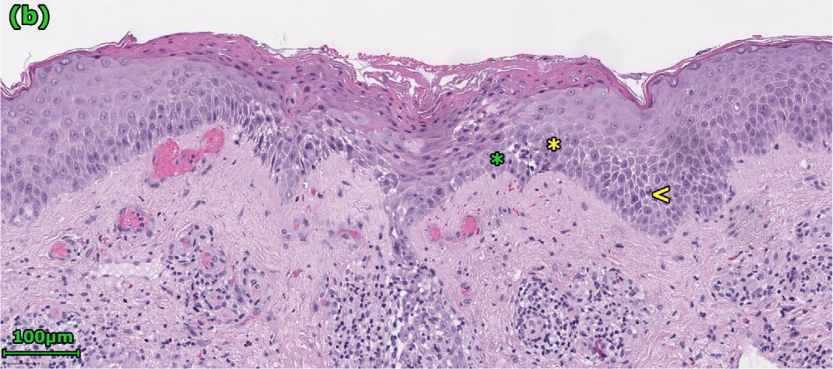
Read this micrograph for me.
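This is skin with an inflamed epidermis: the keratinocytes in the middle and lower epidermis are pushed apart by pale, widened spaces between them, giving a white, net-like look, and in one spot the gaps begin to merge into a small clear space within the epidermis. Nearby, a cluster of small cells with dark, round nuclei sits inside the lower epidermis, far smaller than the pale pink keratinocytes. The surface carries a pink cornified layer. Below, the upper dermis holds dilated vessels filled with red blood cells and dense collections of small dark inflammatory cells around vessels.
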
